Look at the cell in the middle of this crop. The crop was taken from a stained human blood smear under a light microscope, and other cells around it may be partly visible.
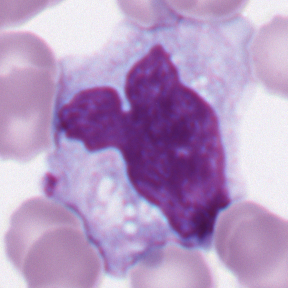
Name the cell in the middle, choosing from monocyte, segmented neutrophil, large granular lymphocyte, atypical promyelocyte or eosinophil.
monocyte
